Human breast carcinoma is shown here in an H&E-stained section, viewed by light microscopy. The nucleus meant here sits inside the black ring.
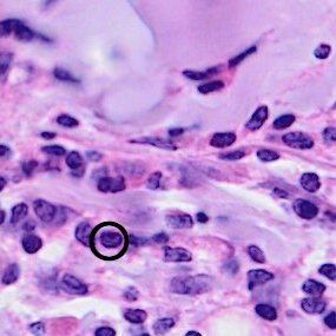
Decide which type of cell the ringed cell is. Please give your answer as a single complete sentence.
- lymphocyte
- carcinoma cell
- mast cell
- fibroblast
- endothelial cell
The correct response here is that the ringed cell is a lymphocyte.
